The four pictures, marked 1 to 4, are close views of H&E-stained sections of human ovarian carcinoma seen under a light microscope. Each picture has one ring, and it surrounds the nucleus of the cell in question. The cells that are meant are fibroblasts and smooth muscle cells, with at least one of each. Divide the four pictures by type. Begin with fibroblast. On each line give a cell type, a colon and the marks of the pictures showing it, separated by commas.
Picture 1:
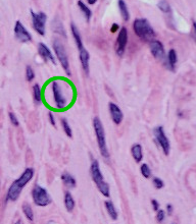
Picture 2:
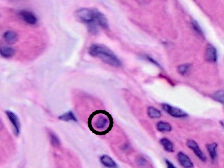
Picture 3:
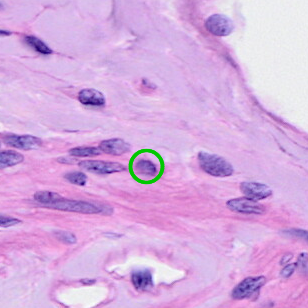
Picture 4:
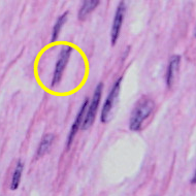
fibroblast: 4
smooth muscle cell: 1, 2, 3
